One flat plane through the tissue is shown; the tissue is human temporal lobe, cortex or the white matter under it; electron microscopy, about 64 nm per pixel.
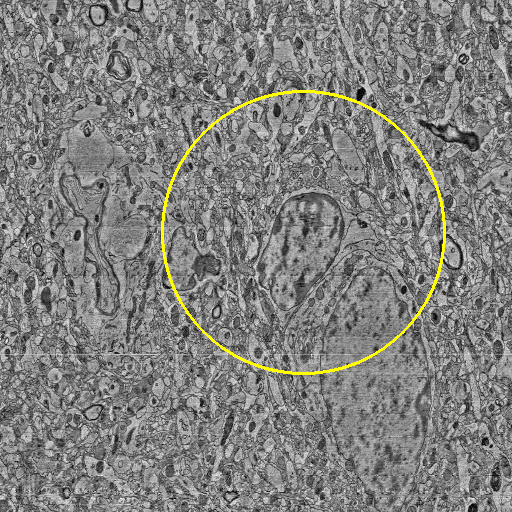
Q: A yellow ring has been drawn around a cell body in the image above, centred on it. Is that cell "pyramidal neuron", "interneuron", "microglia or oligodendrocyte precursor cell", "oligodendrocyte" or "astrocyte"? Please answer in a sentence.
The ring surrounds the cell body of a microglial cell or oligodendrocyte precursor cell.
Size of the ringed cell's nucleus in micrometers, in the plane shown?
The nucleus comes to approximately 7 by 5 micrometres and is clearly longer than it is wide in this plane.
